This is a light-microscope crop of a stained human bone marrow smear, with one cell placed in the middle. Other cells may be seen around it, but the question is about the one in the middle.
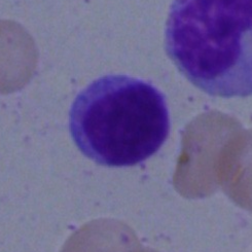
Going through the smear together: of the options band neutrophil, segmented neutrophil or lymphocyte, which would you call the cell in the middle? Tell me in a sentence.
Among the cells in view, the one in the middle is a lymphocyte.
